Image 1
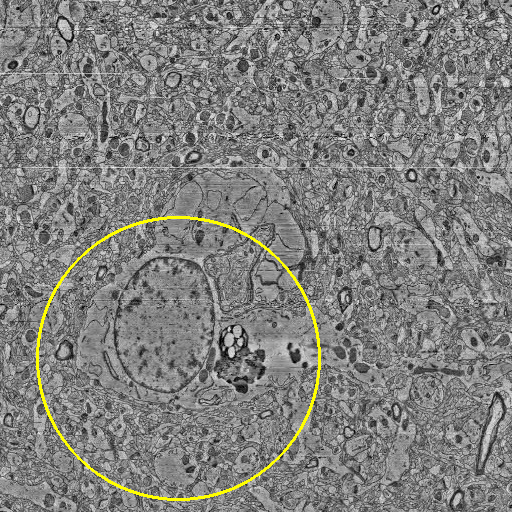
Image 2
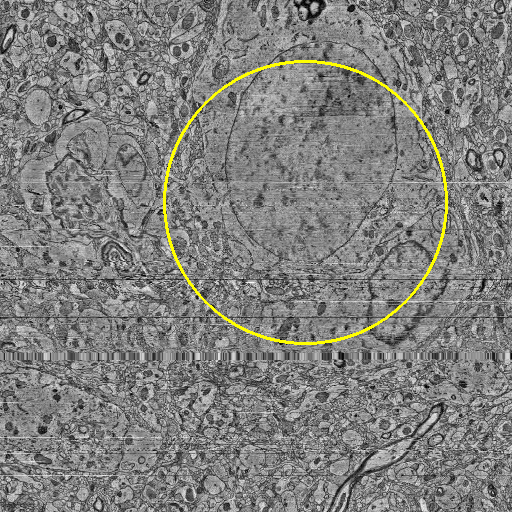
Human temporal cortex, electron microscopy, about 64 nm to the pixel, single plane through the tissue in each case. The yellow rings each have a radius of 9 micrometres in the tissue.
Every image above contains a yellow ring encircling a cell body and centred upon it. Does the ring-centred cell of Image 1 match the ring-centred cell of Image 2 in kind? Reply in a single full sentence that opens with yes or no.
No, the cell at the ring's centre in Image 1 is a separate kind from that in Image 2.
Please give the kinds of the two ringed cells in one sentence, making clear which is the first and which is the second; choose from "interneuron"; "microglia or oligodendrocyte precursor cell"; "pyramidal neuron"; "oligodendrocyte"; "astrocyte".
In the second picture the ringed cell is a pyramidal neuron; in the first it is an astrocyte.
